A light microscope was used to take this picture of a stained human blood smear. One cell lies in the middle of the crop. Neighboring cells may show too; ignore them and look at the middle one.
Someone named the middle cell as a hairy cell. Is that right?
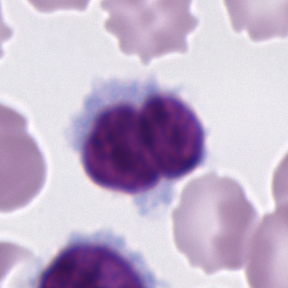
yes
